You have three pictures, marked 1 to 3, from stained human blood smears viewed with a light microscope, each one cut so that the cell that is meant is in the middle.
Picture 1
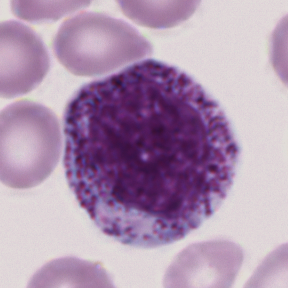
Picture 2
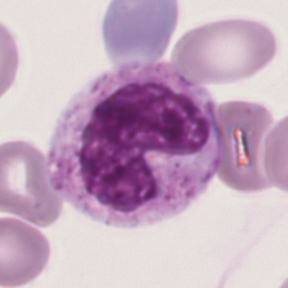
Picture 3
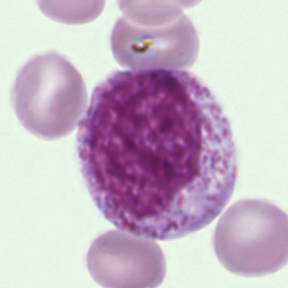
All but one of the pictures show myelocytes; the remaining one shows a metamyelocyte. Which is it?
2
